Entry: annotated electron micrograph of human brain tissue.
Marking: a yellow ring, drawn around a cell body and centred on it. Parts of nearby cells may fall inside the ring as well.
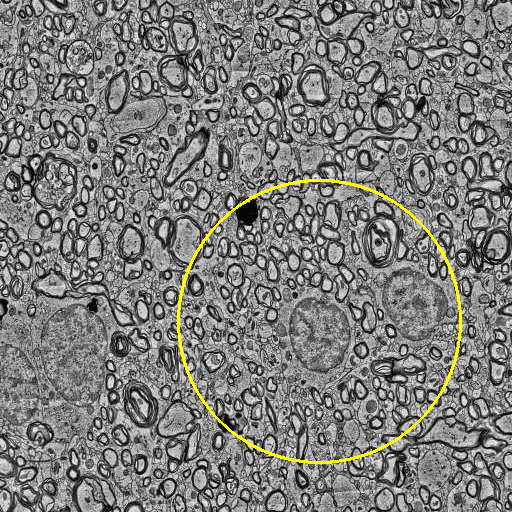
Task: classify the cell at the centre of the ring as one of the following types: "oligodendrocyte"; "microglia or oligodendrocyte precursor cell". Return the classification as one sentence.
The marked cell is classified as an oligodendrocyte.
